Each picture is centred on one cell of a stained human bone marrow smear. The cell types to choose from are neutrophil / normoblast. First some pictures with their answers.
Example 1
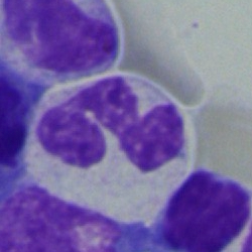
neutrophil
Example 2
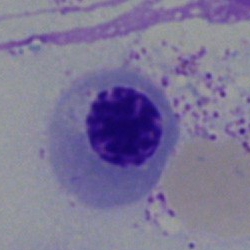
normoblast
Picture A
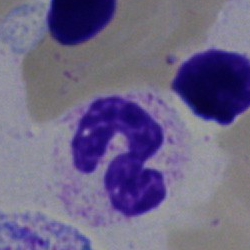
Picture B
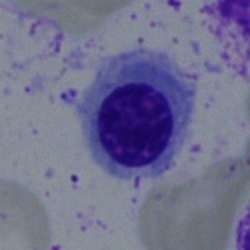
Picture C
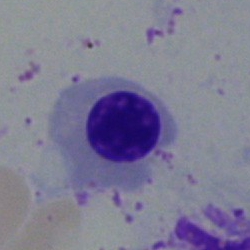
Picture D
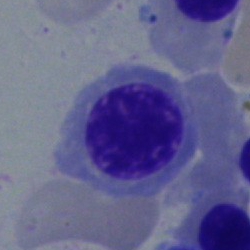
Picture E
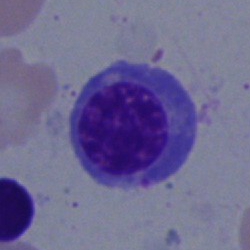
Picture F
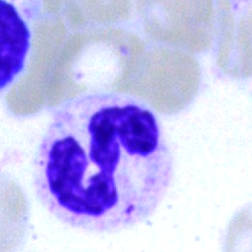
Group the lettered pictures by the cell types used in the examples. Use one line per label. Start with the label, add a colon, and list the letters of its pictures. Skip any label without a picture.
neutrophil: A, F
normoblast: B, C, D, E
